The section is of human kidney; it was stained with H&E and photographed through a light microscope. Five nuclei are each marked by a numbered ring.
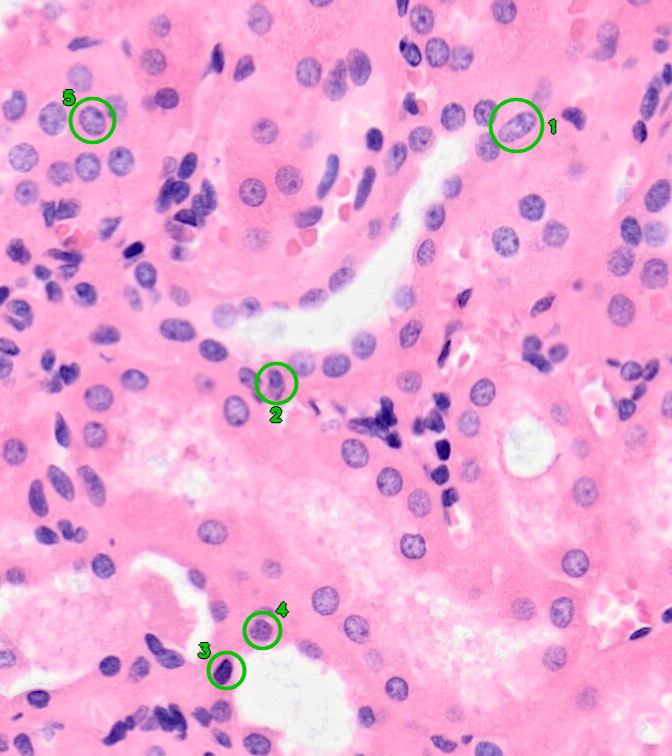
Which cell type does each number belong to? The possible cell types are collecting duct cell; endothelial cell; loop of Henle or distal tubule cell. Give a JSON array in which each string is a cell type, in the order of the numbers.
["collecting duct cell", "collecting duct cell", "loop of Henle or distal tubule cell", "loop of Henle or distal tubule cell", "loop of Henle or distal tubule cell"]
